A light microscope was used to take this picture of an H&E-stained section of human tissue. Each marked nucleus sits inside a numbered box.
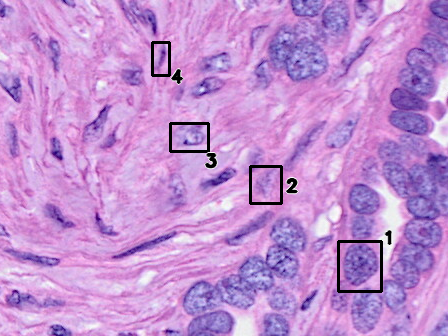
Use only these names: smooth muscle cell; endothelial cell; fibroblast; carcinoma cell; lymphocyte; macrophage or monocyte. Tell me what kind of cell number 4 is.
fibroblast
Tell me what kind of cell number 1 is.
carcinoma cell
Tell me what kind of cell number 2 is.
fibroblast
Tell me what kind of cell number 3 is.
fibroblast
